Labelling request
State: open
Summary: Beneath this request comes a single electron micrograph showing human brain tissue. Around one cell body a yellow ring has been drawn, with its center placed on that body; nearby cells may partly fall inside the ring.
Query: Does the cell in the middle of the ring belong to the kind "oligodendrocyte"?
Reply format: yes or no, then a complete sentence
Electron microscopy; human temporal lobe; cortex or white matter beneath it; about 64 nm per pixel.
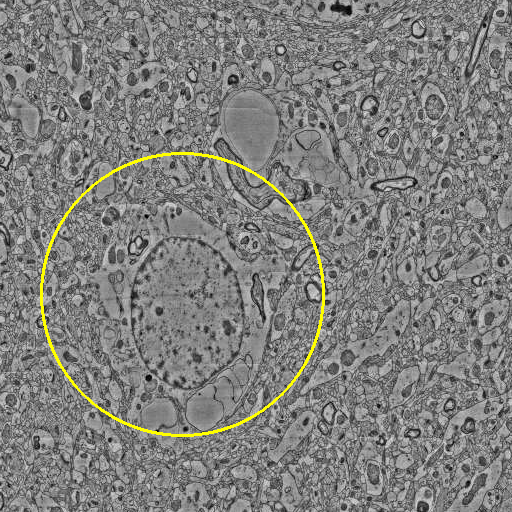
No, the cell sitting at the center of the ring in this picture is of a different kind.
